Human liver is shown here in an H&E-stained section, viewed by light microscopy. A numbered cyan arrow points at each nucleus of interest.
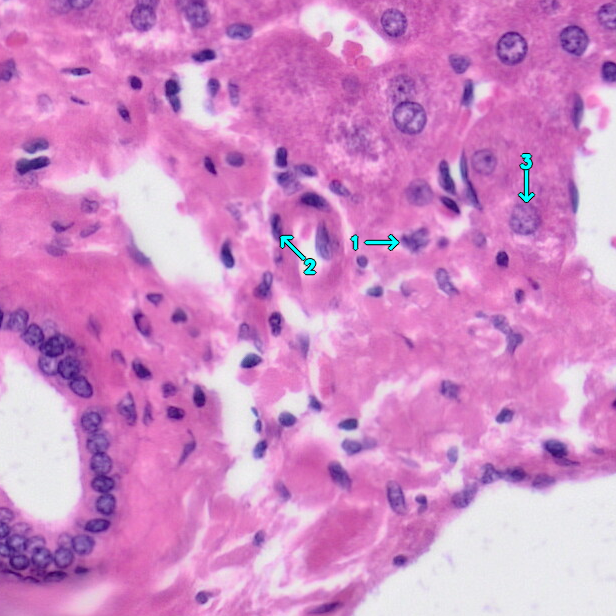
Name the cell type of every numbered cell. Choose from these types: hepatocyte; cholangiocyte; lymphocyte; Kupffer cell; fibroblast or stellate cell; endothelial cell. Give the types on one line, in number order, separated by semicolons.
fibroblast or stellate cell; fibroblast or stellate cell; hepatocyte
